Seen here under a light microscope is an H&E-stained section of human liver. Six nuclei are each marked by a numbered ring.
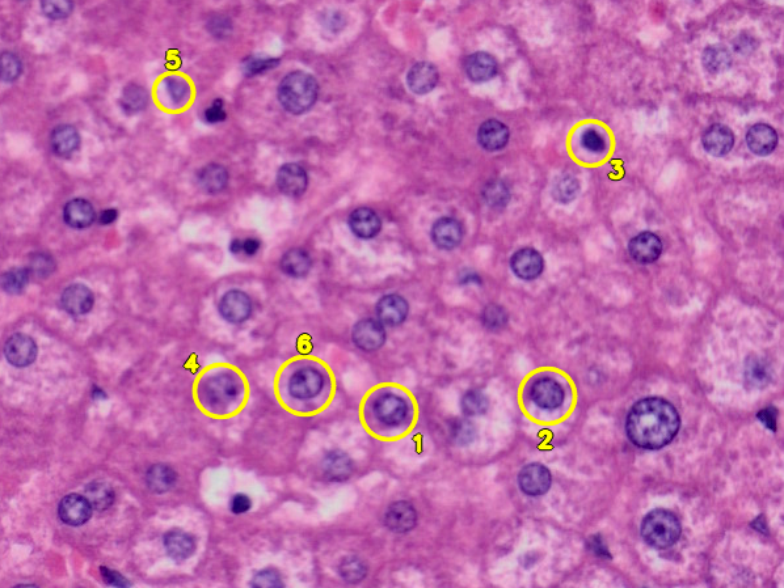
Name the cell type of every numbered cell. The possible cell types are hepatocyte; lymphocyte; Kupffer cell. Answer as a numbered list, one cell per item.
1. hepatocyte
2. hepatocyte
3. lymphocyte
4. hepatocyte
5. Kupffer cell
6. hepatocyte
